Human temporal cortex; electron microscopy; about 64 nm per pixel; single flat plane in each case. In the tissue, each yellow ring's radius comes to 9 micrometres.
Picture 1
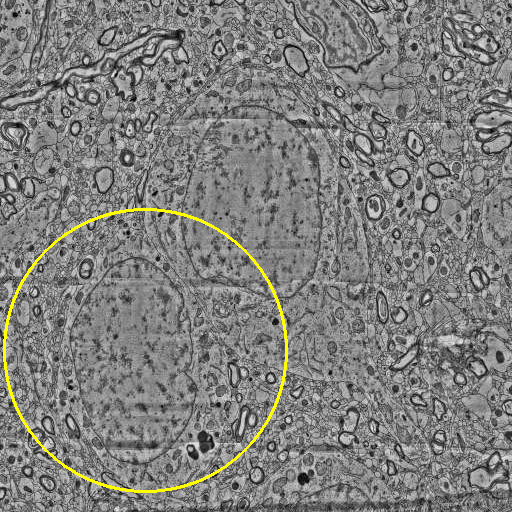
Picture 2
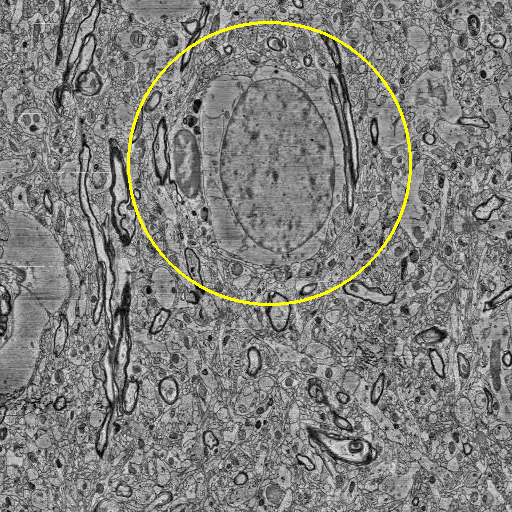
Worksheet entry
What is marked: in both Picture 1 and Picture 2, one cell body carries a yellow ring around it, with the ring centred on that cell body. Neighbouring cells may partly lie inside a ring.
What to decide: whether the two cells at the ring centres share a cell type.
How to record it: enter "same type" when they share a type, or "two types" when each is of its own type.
two types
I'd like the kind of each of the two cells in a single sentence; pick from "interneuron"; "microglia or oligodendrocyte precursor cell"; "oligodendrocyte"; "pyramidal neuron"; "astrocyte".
The first ring marks a pyramidal neuron, and the second ring marks an astrocyte.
